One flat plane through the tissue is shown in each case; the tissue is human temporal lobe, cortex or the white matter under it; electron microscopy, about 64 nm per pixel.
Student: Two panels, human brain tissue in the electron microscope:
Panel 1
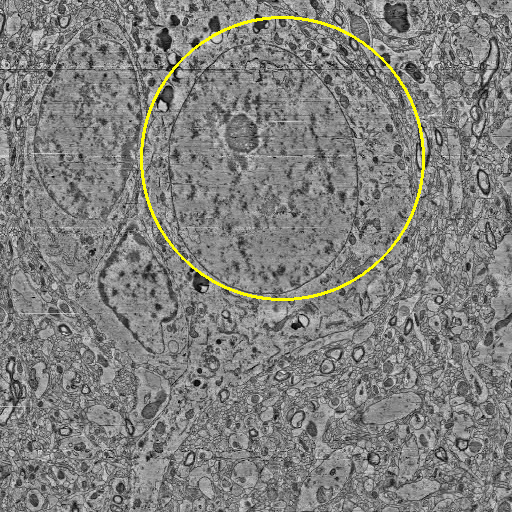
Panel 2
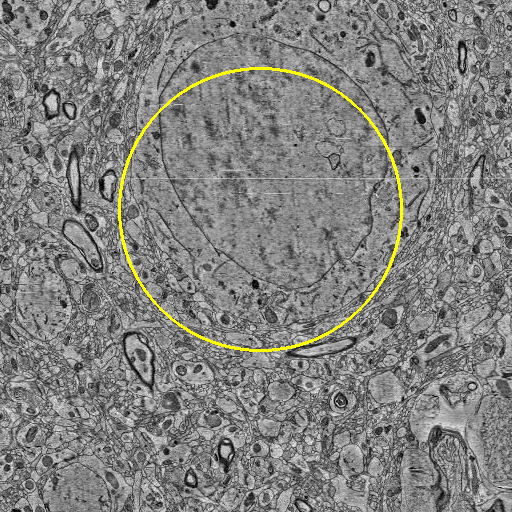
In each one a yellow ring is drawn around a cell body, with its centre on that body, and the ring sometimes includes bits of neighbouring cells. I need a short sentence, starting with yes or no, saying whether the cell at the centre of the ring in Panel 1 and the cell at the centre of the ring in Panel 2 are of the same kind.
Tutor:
Yes, they are the same kind of cell.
